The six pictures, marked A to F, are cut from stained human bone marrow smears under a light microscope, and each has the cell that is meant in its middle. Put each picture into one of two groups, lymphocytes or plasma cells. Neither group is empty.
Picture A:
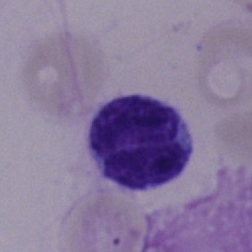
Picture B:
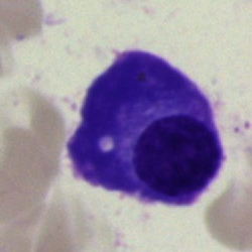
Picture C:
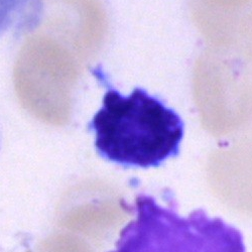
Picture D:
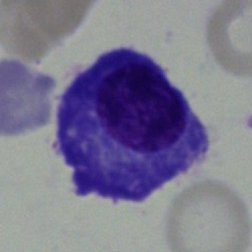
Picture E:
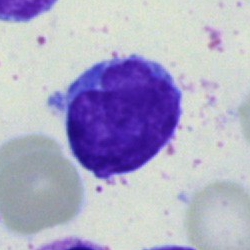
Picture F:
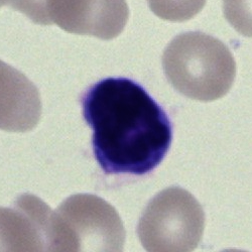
A: lymphocyte
B: plasma cell
C: lymphocyte
D: plasma cell
E: lymphocyte
F: lymphocyte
